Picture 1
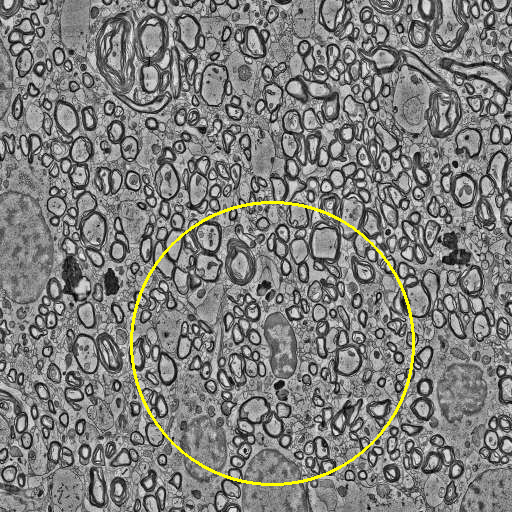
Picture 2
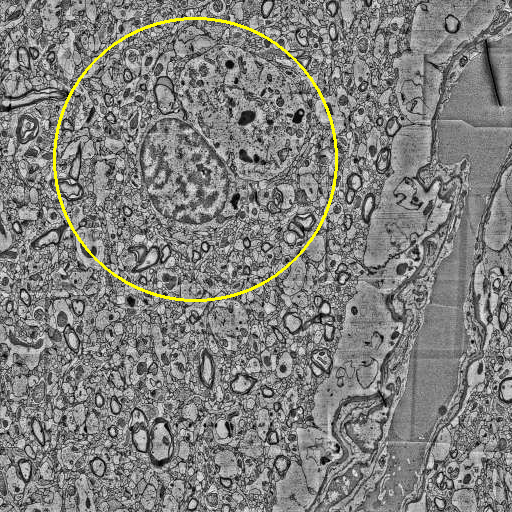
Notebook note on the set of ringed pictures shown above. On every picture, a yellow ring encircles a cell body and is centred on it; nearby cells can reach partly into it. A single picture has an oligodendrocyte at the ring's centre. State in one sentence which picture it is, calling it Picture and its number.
Picture 2 is the one whose ring is centred on the sought cell.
